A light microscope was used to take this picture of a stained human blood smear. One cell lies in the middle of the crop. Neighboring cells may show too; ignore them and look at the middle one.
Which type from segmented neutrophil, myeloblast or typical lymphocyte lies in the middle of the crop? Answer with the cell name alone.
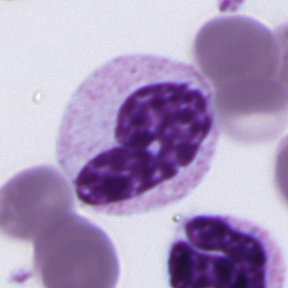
segmented neutrophil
